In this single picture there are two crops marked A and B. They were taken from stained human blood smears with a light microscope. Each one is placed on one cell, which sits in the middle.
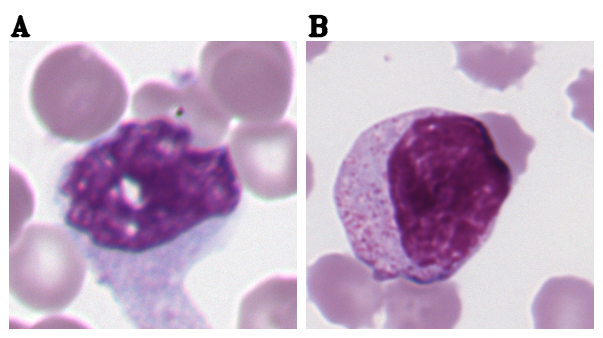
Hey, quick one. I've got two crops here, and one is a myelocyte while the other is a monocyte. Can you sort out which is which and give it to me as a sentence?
Crop A features a monocyte, while crop B features a myelocyte.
